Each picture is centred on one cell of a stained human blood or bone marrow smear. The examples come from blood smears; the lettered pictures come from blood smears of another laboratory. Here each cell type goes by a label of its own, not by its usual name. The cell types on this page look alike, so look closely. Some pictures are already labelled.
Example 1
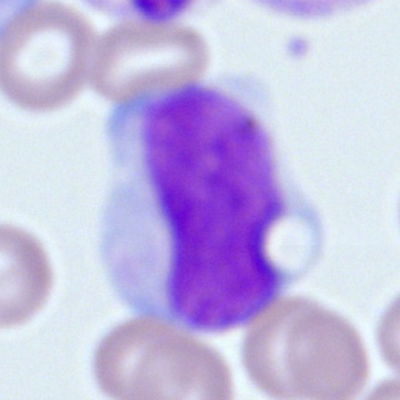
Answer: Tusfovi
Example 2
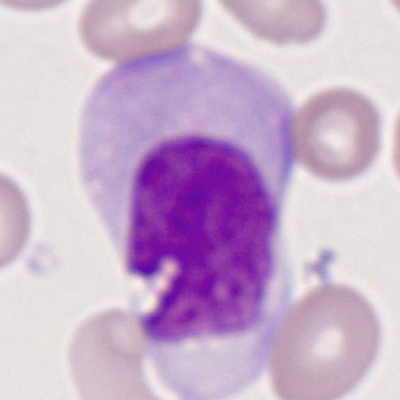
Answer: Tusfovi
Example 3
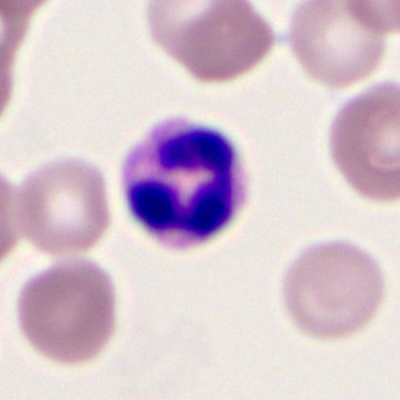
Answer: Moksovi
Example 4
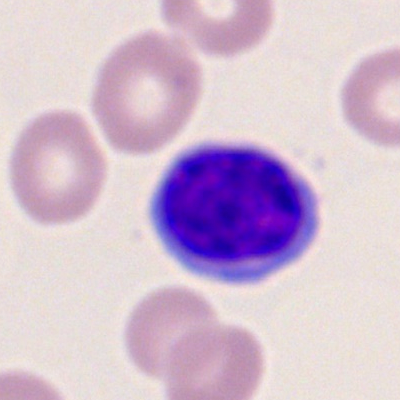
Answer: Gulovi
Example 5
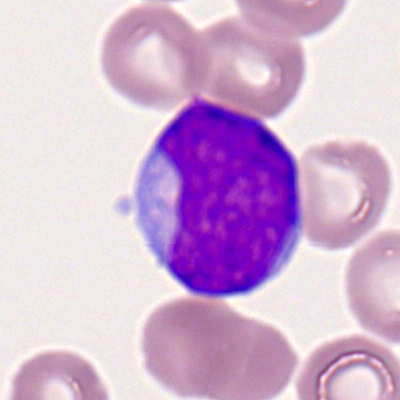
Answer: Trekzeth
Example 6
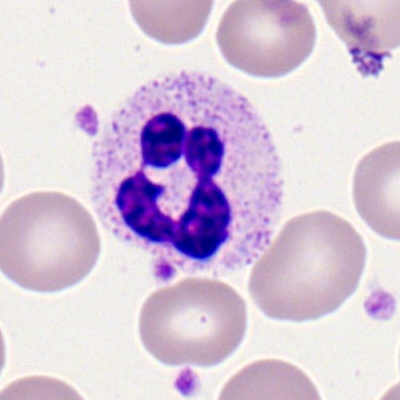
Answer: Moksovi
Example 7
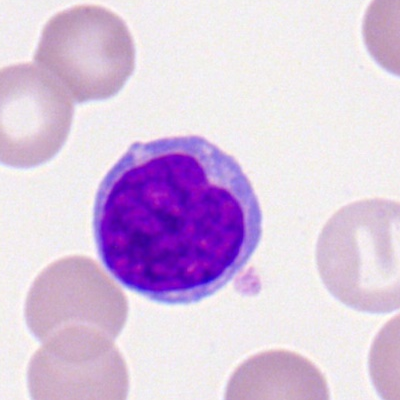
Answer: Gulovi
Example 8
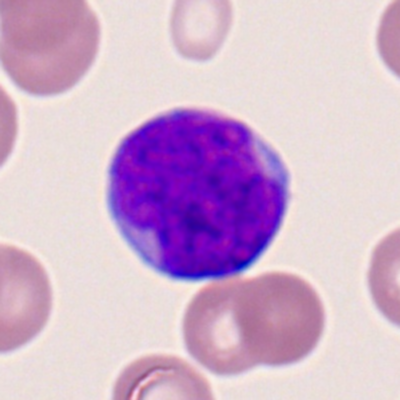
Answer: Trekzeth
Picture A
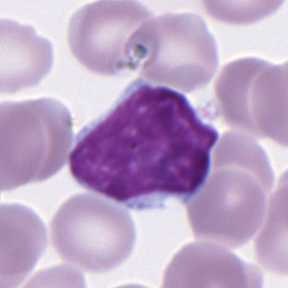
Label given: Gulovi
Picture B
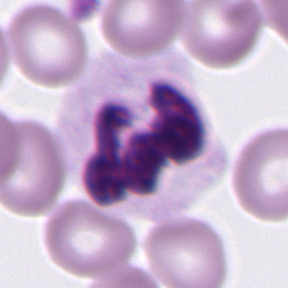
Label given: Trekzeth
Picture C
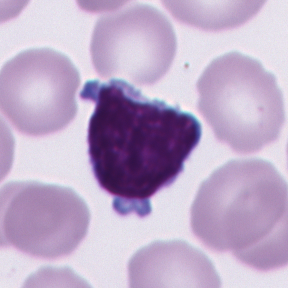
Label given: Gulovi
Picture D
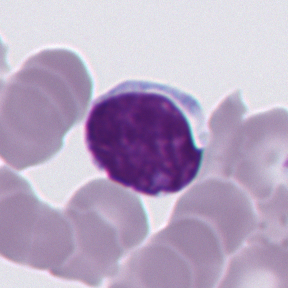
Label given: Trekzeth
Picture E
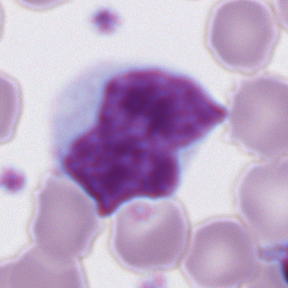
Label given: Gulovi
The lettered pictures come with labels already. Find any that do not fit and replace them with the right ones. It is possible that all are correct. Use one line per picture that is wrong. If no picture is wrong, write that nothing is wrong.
B: change Trekzeth to Moksovi
D: change Trekzeth to Gulovi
